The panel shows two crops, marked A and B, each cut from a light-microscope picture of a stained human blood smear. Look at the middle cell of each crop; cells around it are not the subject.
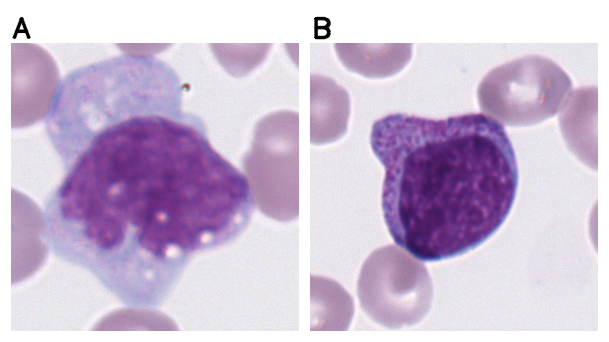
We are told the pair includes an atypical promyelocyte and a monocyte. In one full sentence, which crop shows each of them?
Among the crops, crop A is a monocyte and crop B is an atypical promyelocyte.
